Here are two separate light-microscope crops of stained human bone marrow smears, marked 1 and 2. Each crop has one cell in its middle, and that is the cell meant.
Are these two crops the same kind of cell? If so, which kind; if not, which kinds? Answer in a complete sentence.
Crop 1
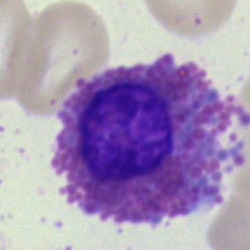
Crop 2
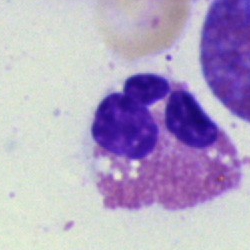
Yes, eosinophils are shown in both crops.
